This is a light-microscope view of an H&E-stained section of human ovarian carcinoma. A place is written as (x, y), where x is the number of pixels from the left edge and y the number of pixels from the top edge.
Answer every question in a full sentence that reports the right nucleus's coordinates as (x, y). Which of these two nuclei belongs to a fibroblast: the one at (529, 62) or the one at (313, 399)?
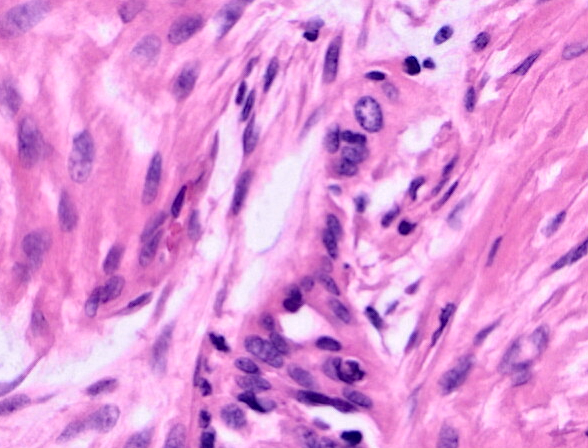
It is the nucleus at (529, 62) that forms part of a fibroblast.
